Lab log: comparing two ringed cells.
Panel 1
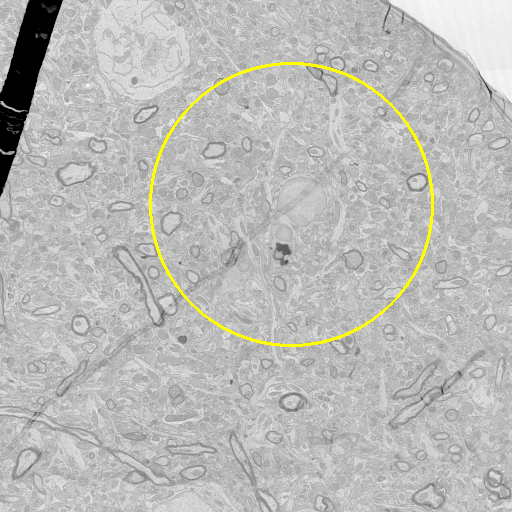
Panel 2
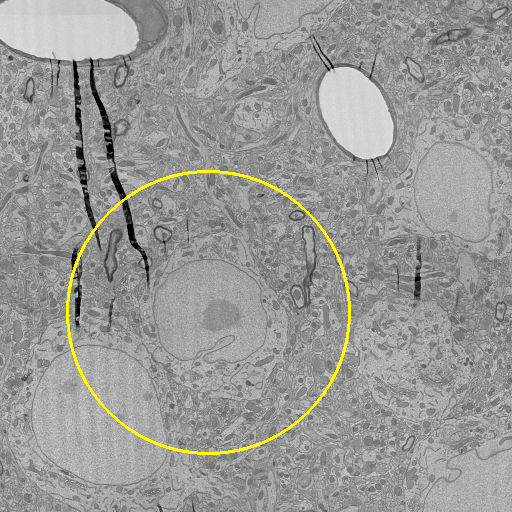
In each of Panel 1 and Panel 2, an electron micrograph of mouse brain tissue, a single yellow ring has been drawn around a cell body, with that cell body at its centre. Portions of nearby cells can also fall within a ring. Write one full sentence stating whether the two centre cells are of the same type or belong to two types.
The cells at the ring centres in Panel 1 and Panel 2 belong to two types.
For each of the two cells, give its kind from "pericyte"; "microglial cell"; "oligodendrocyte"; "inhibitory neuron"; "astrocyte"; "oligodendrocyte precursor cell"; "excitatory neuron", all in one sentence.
The first picture has a microglial cell in its ring, the second has an excitatory neuron.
